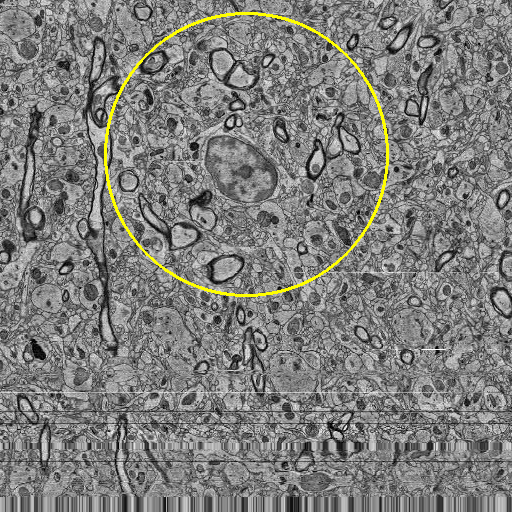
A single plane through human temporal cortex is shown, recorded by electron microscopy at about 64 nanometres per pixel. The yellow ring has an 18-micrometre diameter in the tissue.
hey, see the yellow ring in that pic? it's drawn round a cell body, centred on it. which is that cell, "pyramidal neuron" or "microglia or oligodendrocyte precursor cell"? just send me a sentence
The cell in the ring is a microglial cell or oligodendrocyte precursor cell.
